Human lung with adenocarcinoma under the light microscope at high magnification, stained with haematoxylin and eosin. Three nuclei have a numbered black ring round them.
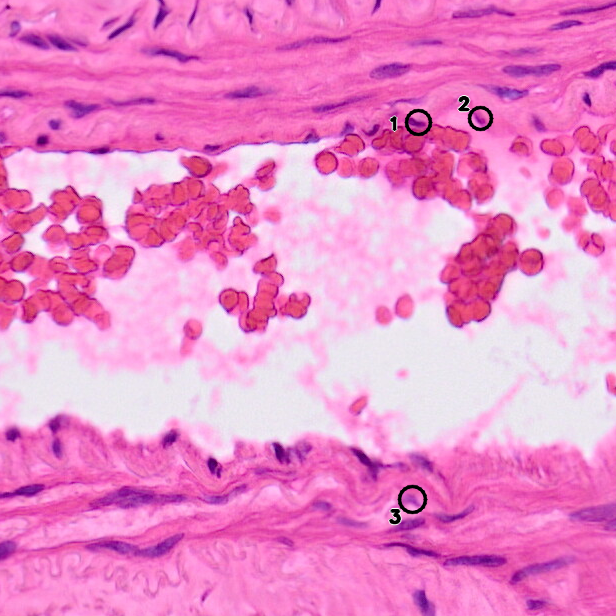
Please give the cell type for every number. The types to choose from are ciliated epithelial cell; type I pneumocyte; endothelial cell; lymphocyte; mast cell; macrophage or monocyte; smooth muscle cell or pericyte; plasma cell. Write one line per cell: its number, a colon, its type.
1: endothelial cell
2: endothelial cell
3: smooth muscle cell or pericyte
